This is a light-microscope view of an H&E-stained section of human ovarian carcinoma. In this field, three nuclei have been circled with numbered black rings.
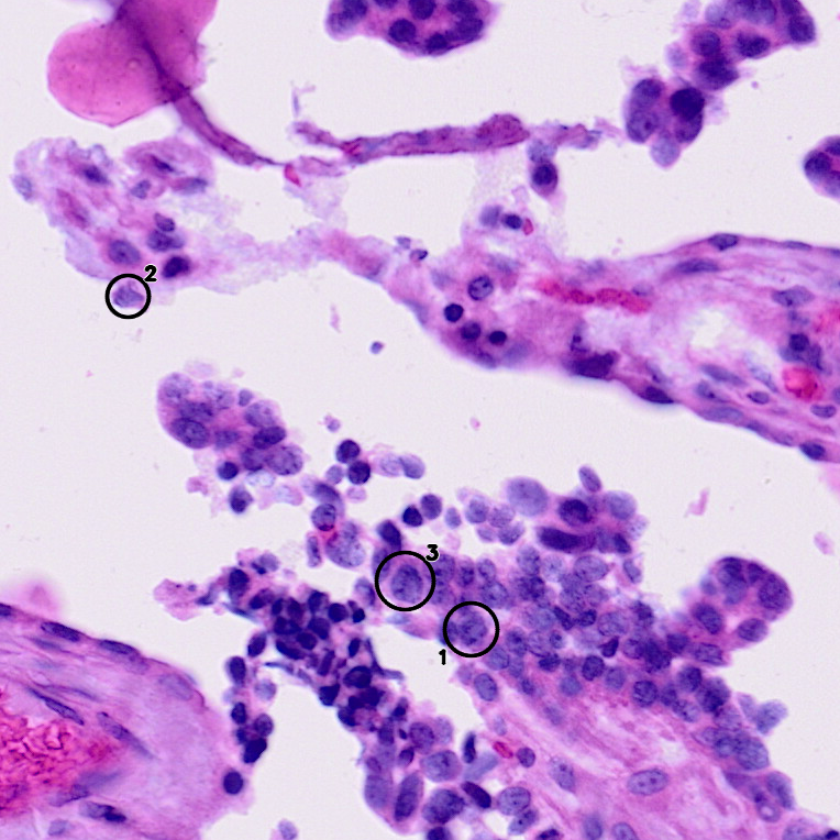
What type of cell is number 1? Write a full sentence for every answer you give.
The nucleus marked 1 is the nucleus of a carcinoma cell.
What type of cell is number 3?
Cell 3 in the field of view is a carcinoma cell.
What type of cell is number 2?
Identified as a macrophage or monocyte is the cell bearing the number 2.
